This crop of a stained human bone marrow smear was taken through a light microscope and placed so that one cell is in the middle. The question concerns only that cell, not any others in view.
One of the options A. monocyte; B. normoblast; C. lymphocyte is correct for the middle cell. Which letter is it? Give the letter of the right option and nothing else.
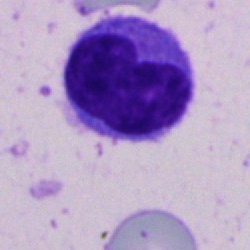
A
